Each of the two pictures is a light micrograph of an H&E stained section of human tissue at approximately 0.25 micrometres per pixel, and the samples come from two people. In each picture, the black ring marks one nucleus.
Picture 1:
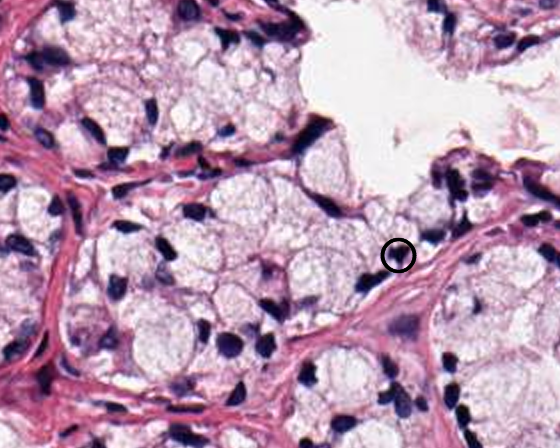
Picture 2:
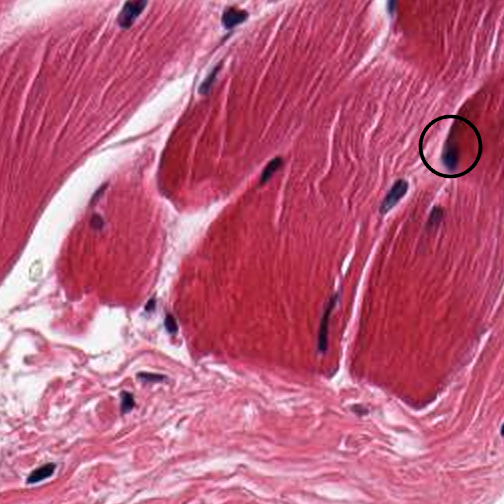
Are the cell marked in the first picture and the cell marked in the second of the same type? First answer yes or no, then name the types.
No, the first is a mucous gland cell and the second a skeletal muscle fibre.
